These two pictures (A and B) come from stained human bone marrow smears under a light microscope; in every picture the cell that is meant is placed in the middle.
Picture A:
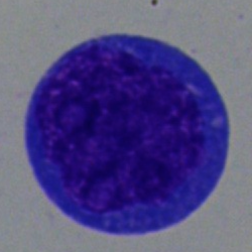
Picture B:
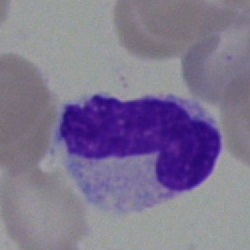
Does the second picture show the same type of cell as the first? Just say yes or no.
no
